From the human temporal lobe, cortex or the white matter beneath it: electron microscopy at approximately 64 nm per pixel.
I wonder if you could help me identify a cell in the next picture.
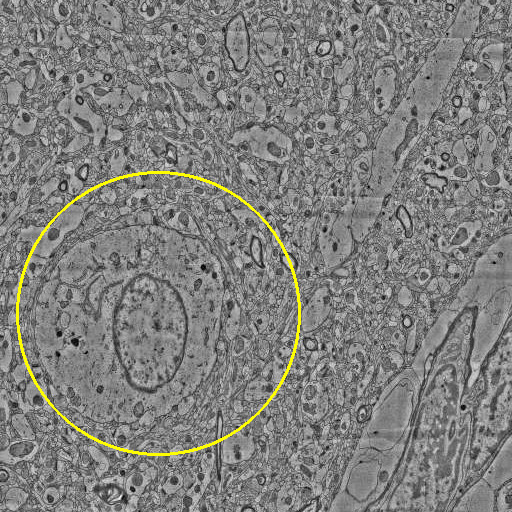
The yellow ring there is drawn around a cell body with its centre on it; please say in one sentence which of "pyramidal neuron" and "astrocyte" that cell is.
The yellow ring is centred on a pyramidal neuron.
